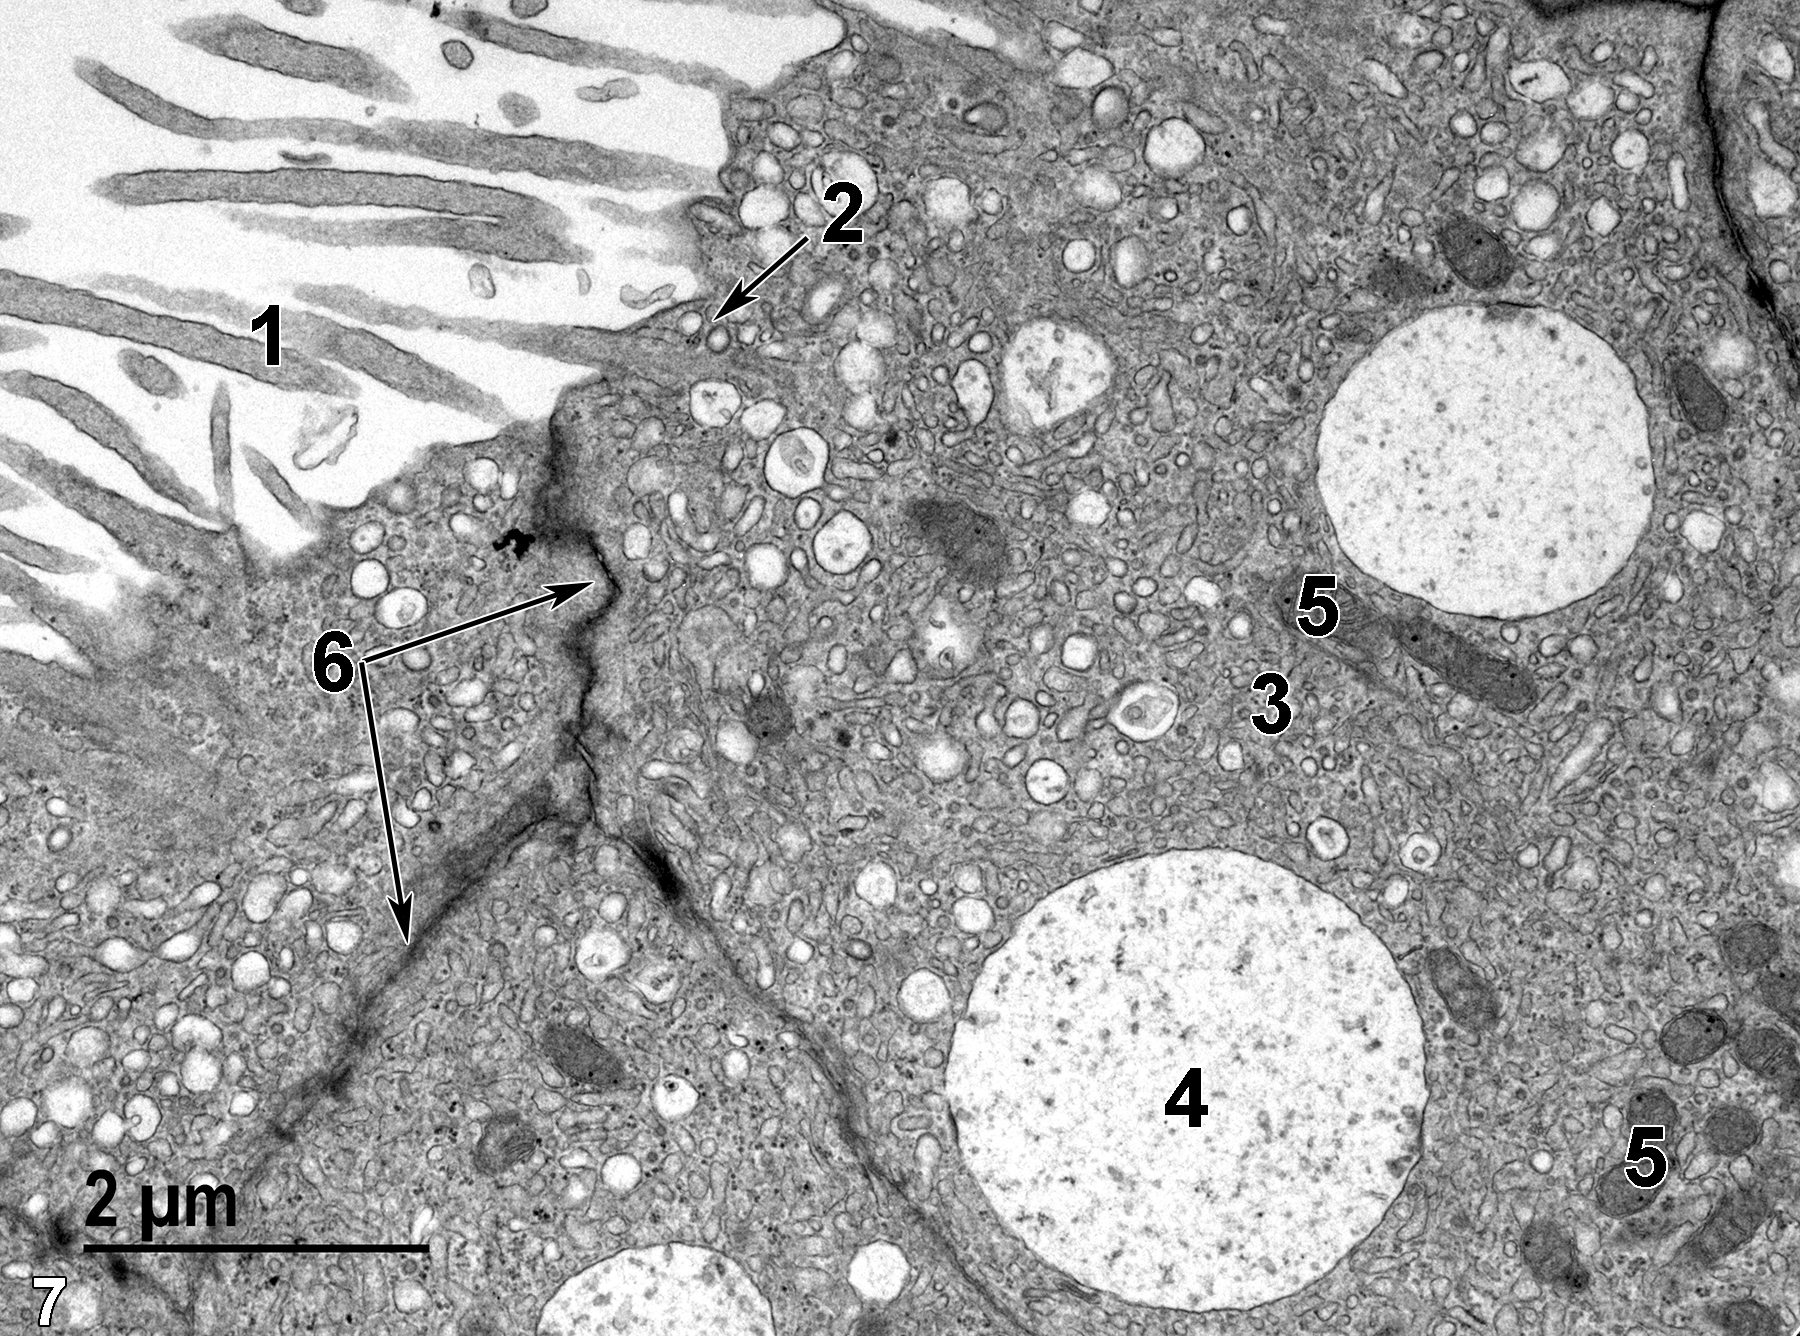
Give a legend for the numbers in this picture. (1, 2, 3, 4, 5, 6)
1: stereocilia
2: pinocytotic vesicles
3: smooth endoplasmic reticulum vesicles
4: large vacuoles
5: mitochondria
6: prominent junctional complexes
